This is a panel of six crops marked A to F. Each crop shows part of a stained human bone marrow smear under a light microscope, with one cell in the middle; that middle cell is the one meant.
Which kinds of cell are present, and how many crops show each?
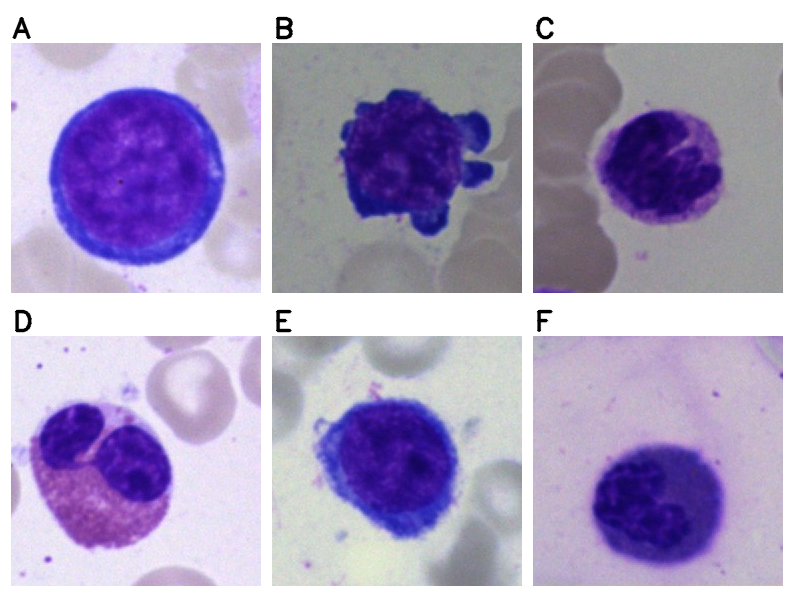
proerythroblast: 3
eosinophil: 2
basophil: 1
